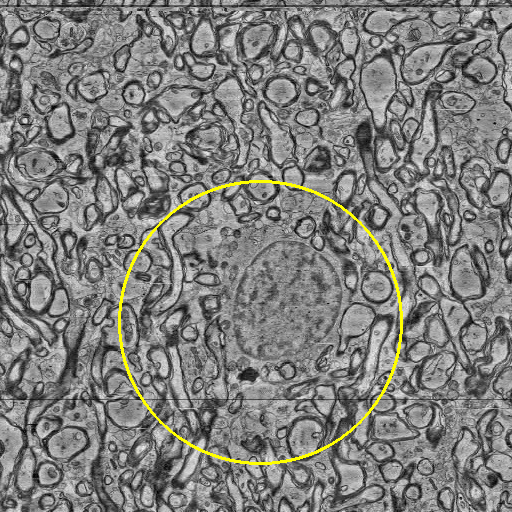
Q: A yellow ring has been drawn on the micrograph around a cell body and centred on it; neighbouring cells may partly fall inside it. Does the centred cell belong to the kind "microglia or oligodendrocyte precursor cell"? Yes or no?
No, it belongs to another kind.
